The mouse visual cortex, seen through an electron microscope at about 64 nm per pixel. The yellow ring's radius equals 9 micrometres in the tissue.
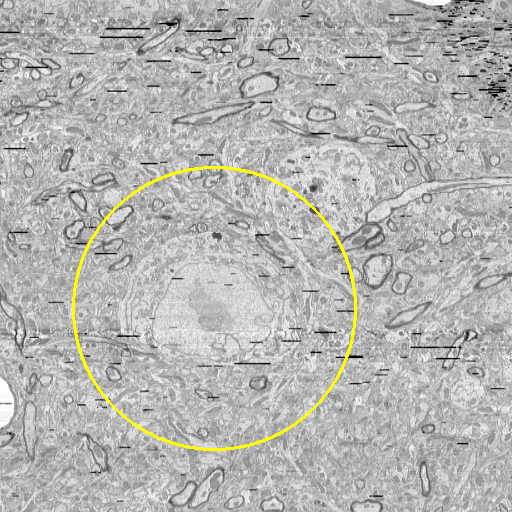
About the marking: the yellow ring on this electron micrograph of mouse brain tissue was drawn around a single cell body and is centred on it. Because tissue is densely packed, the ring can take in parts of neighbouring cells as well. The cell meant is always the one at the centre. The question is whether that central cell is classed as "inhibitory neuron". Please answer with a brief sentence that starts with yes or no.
Yes, the central cell is classed that way.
